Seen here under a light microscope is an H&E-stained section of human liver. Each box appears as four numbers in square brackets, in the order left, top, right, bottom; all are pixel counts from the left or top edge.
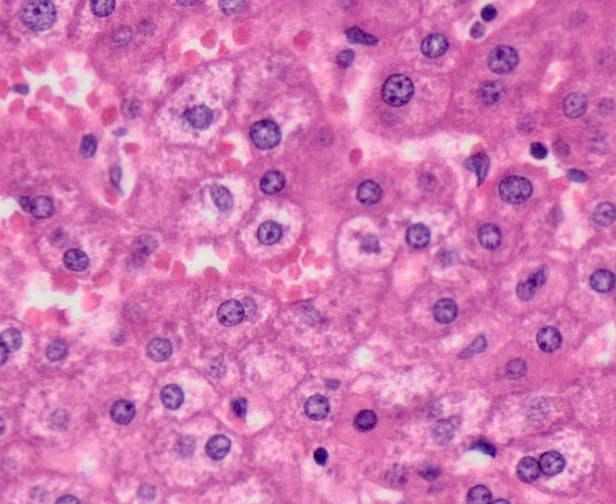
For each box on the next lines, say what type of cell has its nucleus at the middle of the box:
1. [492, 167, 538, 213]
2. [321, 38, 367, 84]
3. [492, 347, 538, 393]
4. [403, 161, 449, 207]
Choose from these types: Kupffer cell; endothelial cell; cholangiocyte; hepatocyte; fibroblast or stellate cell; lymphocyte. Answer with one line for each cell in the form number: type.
1: hepatocyte
2: Kupffer cell
3: hepatocyte
4: hepatocyte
